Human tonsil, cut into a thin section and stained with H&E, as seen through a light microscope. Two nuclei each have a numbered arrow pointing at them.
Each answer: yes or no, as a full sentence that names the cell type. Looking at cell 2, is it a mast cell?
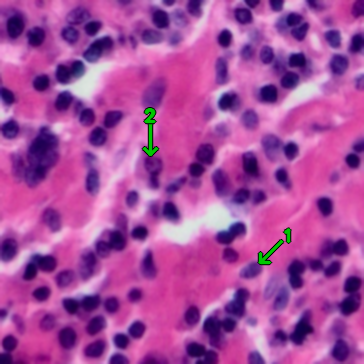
No, the cell under number 2 is a plasma cell, not a mast cell.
